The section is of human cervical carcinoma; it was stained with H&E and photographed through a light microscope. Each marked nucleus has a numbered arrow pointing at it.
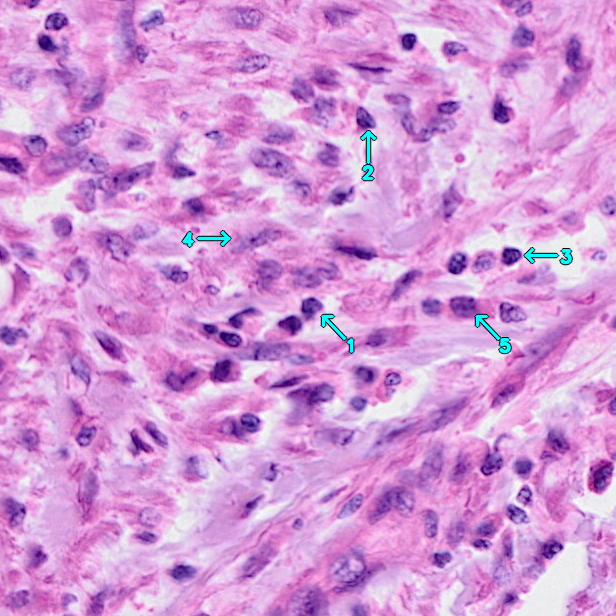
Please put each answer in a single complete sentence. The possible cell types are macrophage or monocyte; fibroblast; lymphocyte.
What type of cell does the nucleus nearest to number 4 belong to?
The nucleus nearest to number 4 is that of a macrophage or monocyte.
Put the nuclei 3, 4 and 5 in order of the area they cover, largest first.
Largest first, the order by area is 4, 5, 3.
